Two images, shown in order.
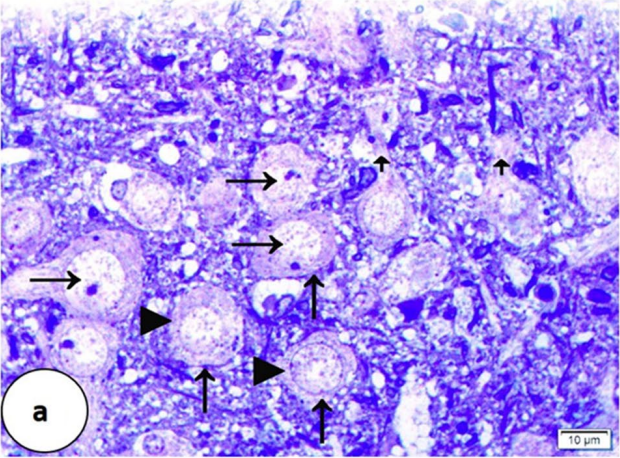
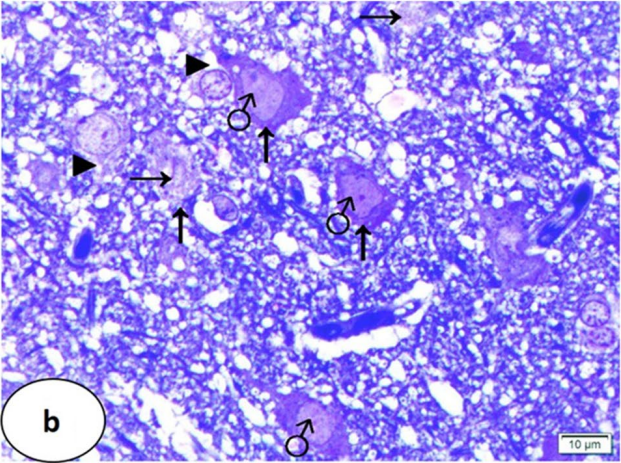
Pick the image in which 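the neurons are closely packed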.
The first image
